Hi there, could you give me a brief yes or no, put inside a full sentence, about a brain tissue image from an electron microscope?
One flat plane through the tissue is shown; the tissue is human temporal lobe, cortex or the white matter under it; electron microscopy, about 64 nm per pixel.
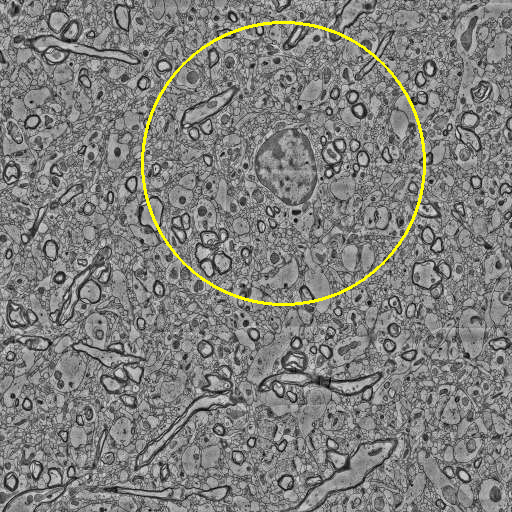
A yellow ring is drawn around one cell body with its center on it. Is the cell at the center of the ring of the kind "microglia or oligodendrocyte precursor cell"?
Yes, the cell found at the center of the yellow ring is of that kind.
